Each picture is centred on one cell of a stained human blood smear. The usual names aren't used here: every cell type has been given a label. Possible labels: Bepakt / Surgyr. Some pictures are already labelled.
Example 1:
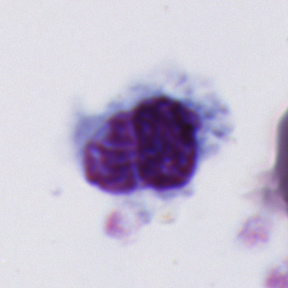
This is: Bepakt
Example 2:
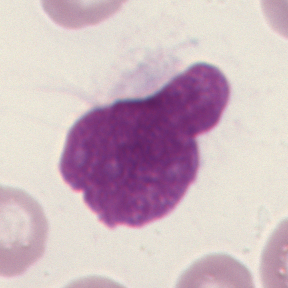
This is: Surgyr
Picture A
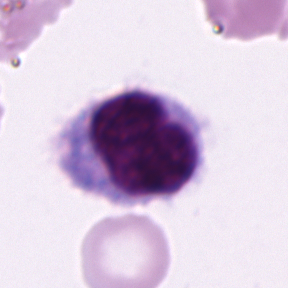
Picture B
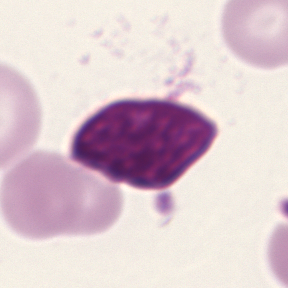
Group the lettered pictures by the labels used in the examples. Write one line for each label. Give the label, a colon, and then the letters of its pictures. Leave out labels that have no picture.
Bepakt: A
Surgyr: B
